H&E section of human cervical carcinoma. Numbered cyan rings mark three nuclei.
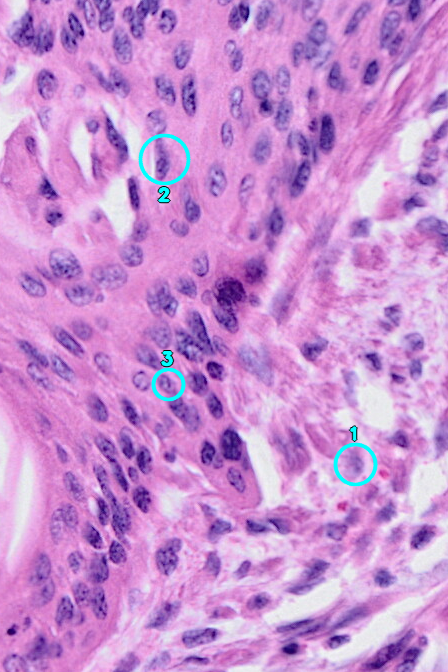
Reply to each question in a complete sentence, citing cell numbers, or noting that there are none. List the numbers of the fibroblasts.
It is only cell 1 that is a fibroblast among the numbered cells.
